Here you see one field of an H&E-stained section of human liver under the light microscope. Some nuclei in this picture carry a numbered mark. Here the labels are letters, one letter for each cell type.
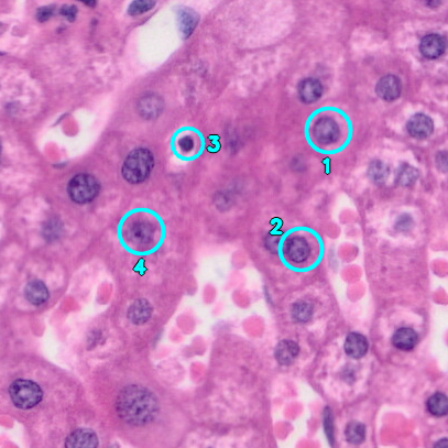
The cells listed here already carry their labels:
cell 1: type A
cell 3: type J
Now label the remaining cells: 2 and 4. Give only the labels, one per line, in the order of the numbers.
type A
type A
